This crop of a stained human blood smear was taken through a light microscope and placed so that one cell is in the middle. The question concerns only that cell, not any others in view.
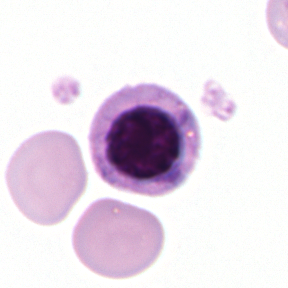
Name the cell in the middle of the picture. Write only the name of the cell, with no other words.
normoblast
